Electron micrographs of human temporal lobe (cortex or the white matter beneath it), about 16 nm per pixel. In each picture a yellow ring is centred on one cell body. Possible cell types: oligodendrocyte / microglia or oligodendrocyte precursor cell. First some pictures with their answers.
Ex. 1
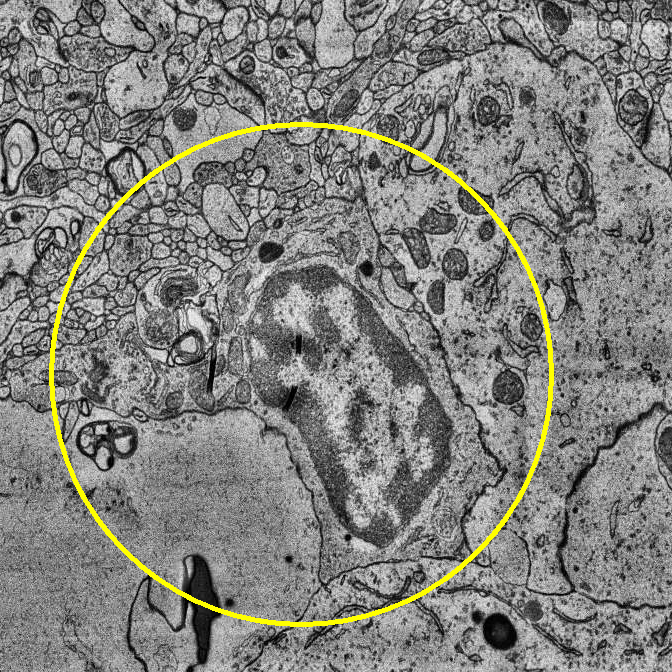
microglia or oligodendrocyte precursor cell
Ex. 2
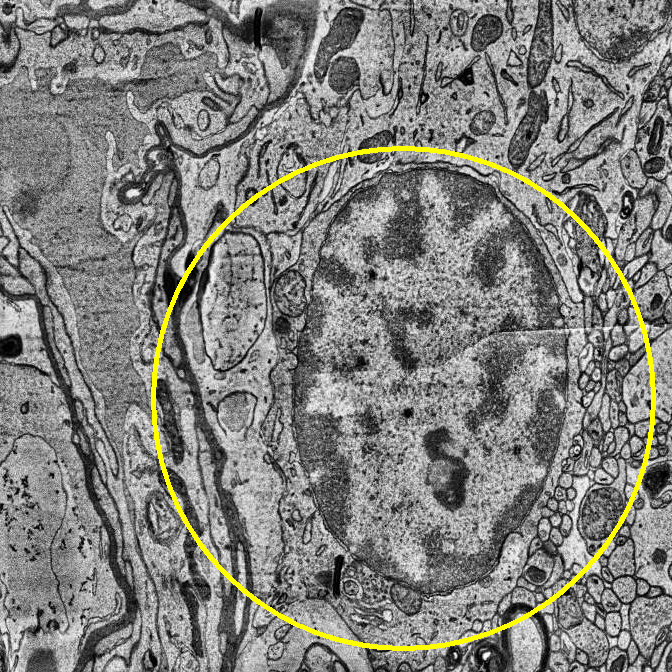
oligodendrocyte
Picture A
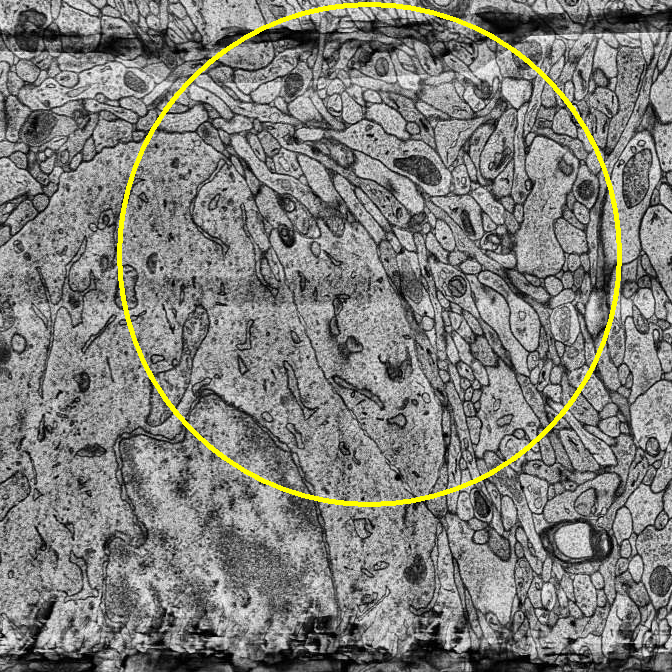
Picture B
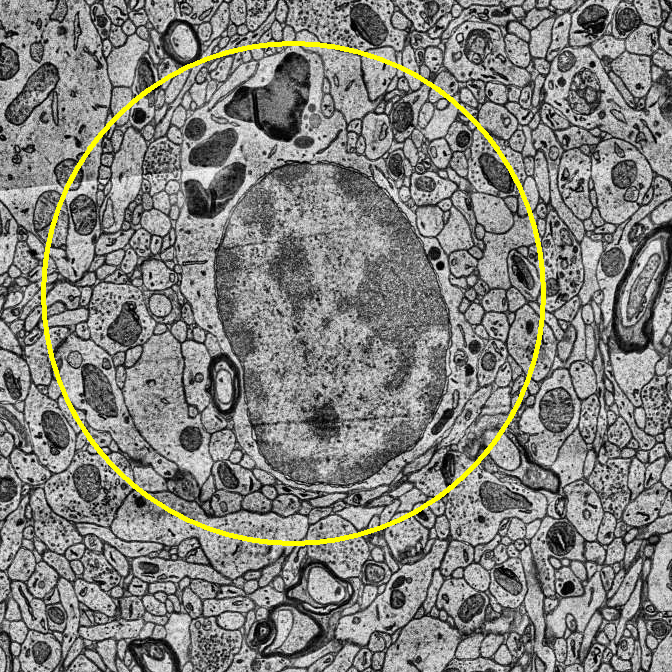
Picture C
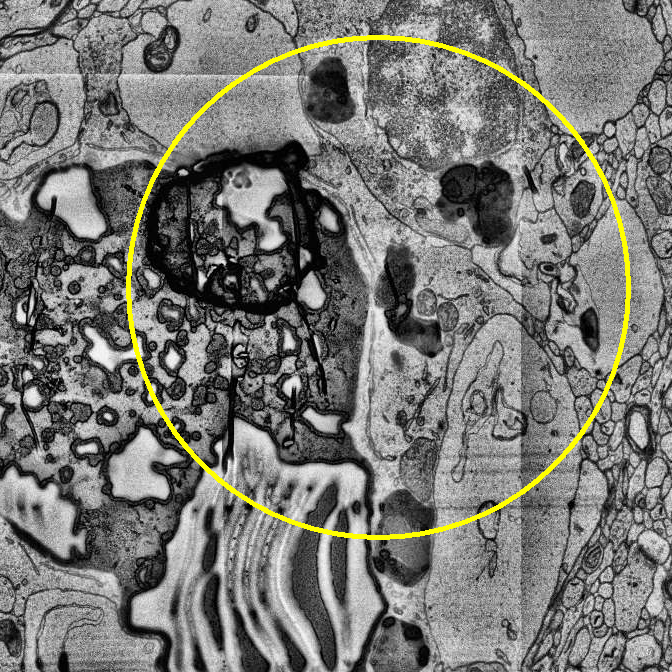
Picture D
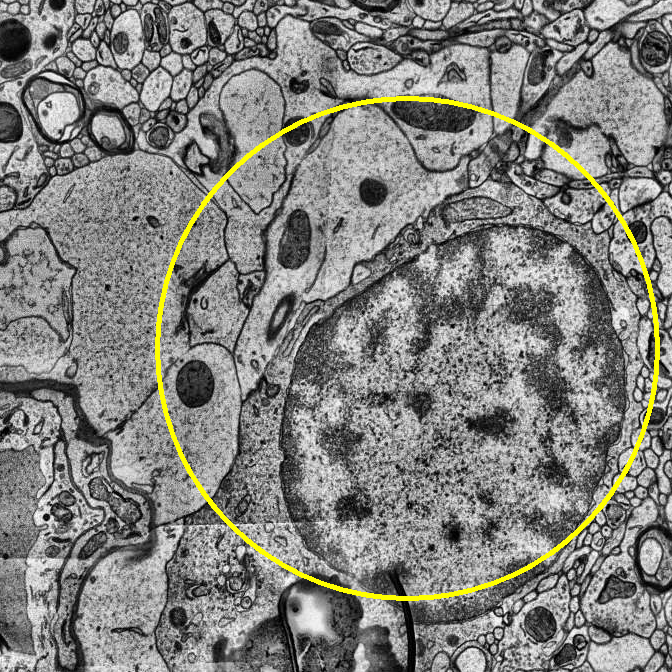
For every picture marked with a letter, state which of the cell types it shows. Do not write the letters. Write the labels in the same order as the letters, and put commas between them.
microglia or oligodendrocyte precursor cell, microglia or oligodendrocyte precursor cell, microglia or oligodendrocyte precursor cell, oligodendrocyte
